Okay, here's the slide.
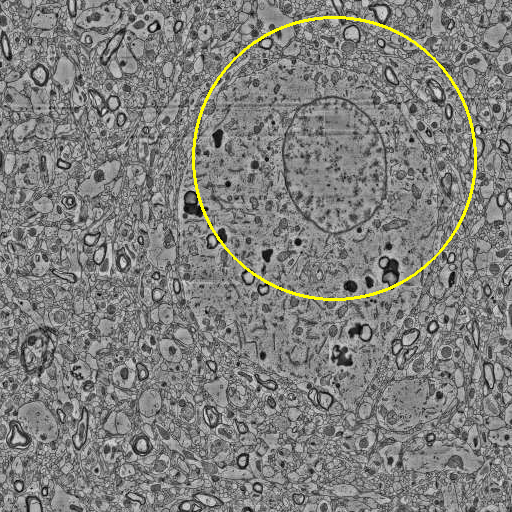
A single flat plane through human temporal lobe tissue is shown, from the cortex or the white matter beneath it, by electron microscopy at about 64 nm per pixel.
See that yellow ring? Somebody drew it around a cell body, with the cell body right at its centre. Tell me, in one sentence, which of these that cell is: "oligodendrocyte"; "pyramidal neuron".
The cell in the middle of the ring is a pyramidal neuron.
